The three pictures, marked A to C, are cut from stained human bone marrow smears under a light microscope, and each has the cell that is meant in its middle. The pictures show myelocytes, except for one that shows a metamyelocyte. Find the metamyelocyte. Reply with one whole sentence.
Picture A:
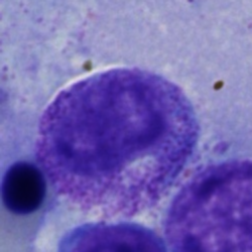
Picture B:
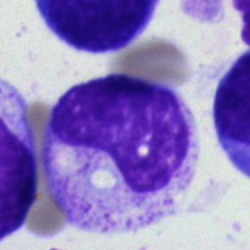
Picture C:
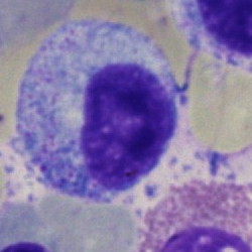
It is picture B that shows the metamyelocyte.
